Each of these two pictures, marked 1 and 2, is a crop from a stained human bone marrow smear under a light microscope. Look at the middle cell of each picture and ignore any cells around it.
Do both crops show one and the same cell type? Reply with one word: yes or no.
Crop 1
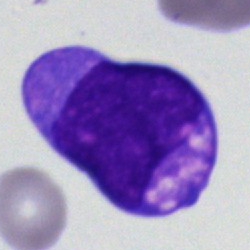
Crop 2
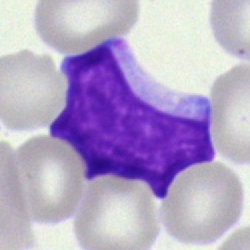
yes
